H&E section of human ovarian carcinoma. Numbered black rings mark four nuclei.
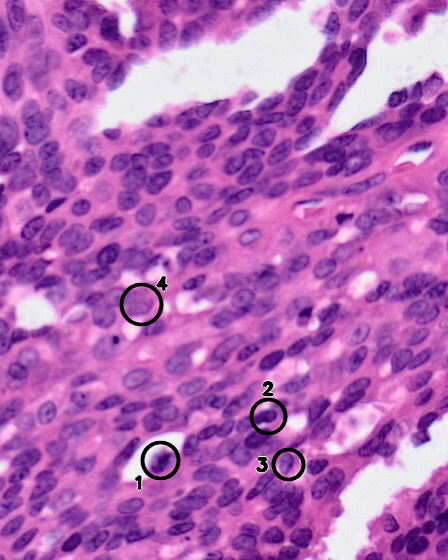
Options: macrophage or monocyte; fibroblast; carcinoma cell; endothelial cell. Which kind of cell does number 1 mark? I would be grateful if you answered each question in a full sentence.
Cell 1 in the field of view is a carcinoma cell.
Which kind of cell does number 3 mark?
The cell tagged with 3 in this tissue section is a macrophage or monocyte.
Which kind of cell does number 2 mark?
Cell 2 in the field of view is a carcinoma cell.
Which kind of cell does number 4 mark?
The numeral 4 marks a carcinoma cell in this section.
